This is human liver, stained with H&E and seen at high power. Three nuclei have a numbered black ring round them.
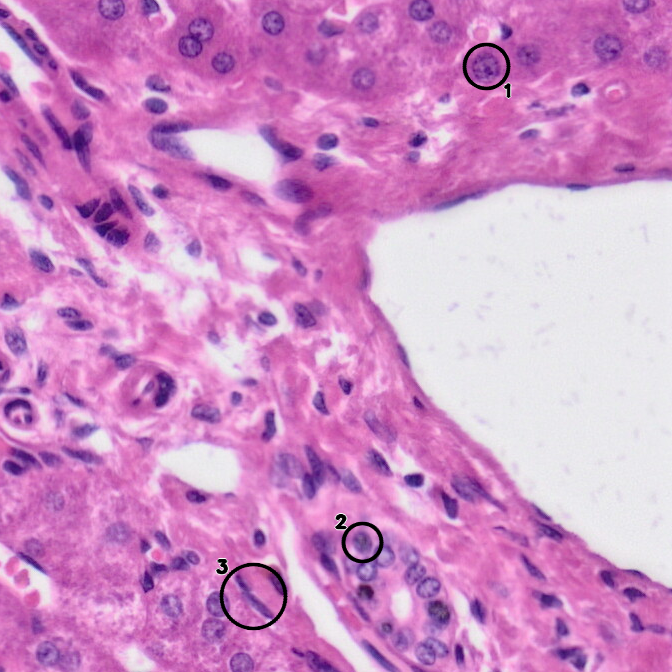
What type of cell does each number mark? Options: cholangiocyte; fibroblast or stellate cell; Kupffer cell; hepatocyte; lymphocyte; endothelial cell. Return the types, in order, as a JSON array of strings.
["hepatocyte", "cholangiocyte", "fibroblast or stellate cell"]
